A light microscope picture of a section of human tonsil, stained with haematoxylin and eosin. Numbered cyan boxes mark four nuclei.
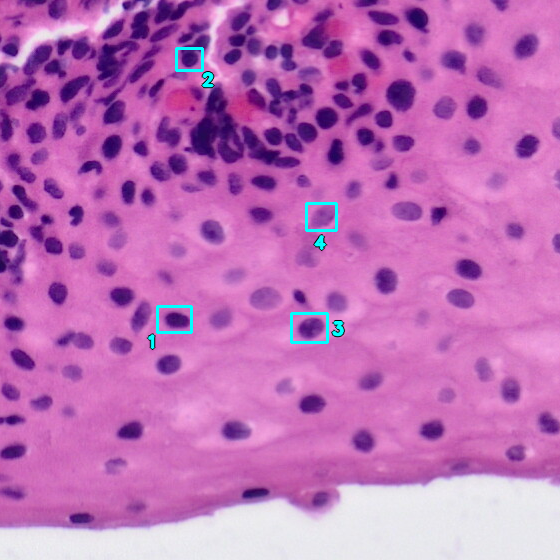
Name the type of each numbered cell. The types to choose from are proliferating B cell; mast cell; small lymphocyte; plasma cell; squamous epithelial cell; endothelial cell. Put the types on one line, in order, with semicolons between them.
squamous epithelial cell; plasma cell; squamous epithelial cell; squamous epithelial cell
